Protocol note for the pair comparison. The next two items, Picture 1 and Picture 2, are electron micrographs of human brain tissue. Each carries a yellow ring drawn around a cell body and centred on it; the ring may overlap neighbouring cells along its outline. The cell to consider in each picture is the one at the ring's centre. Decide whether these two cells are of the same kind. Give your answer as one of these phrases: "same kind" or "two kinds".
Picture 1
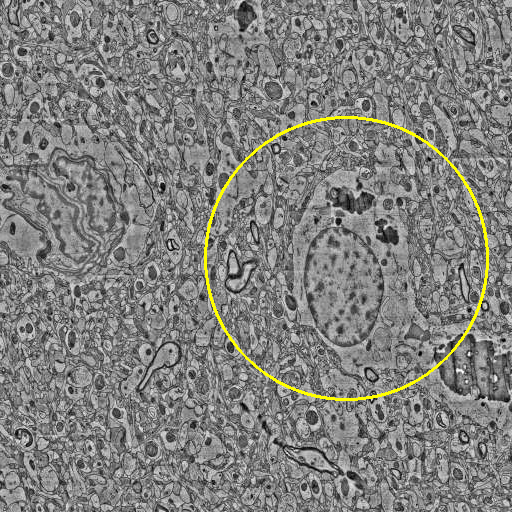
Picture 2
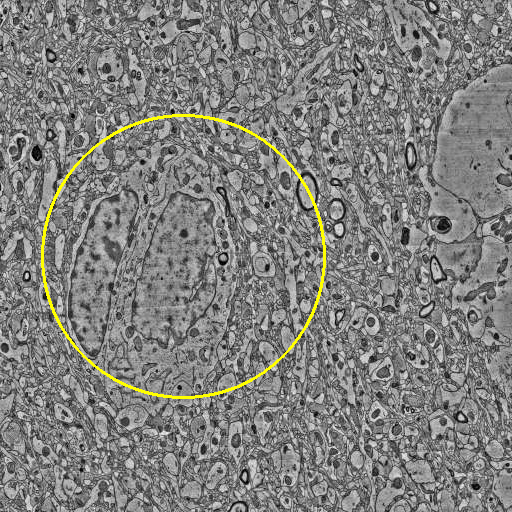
two kinds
